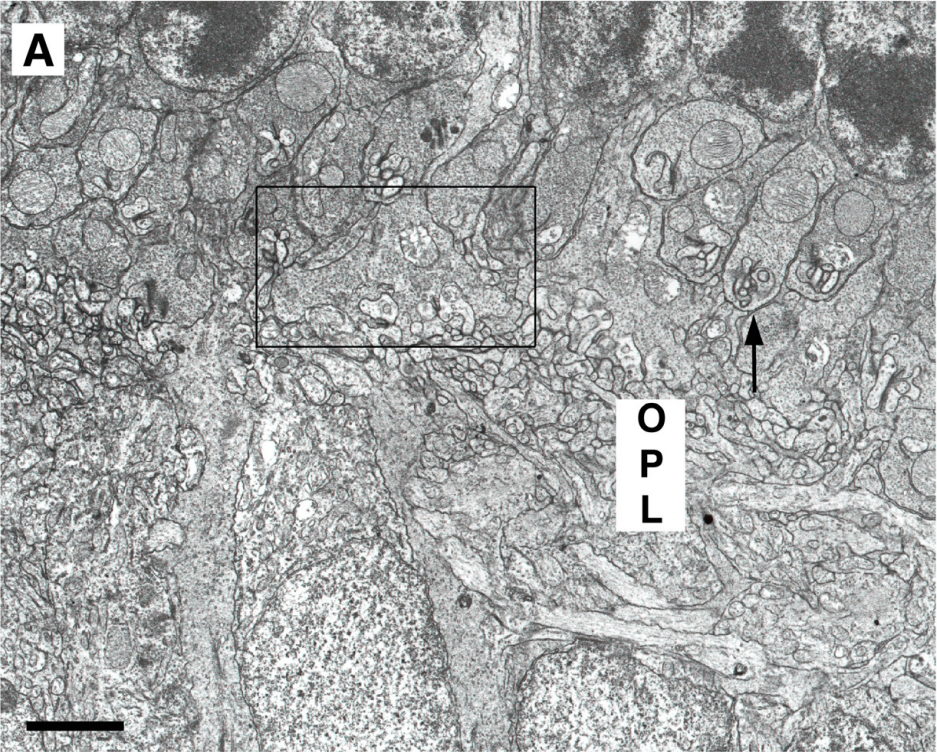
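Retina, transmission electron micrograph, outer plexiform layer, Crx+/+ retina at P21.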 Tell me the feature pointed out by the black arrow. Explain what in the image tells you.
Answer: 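Rod spherules. The arrow points to a small rounded terminal at the upper edge of the synaptic layer. The terminal holds a single cluster of invaginating profiles. Several similar small rounded terminals lie side by side in a row.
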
